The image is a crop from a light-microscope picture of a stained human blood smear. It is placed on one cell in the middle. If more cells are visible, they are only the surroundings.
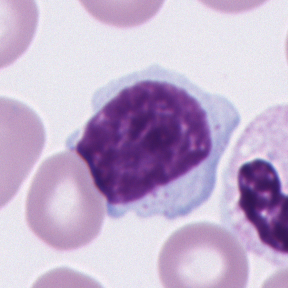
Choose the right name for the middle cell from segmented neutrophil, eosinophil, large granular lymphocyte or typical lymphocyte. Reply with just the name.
large granular lymphocyte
